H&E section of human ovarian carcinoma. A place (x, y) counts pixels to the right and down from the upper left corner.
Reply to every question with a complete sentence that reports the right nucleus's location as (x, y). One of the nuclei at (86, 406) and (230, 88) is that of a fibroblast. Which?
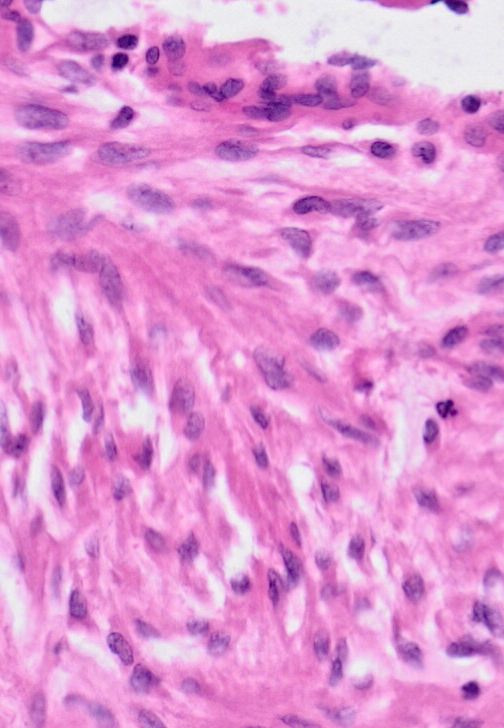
The nucleus contained in a fibroblast is the one at (86, 406).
